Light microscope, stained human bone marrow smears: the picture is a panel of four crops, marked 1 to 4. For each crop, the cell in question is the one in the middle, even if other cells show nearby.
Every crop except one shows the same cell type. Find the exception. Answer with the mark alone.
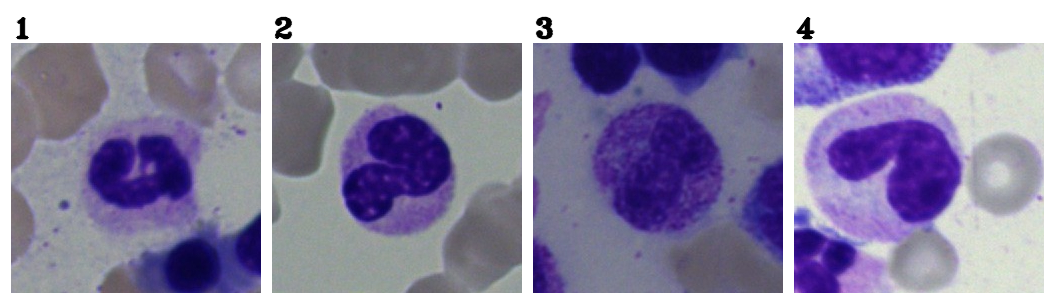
1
